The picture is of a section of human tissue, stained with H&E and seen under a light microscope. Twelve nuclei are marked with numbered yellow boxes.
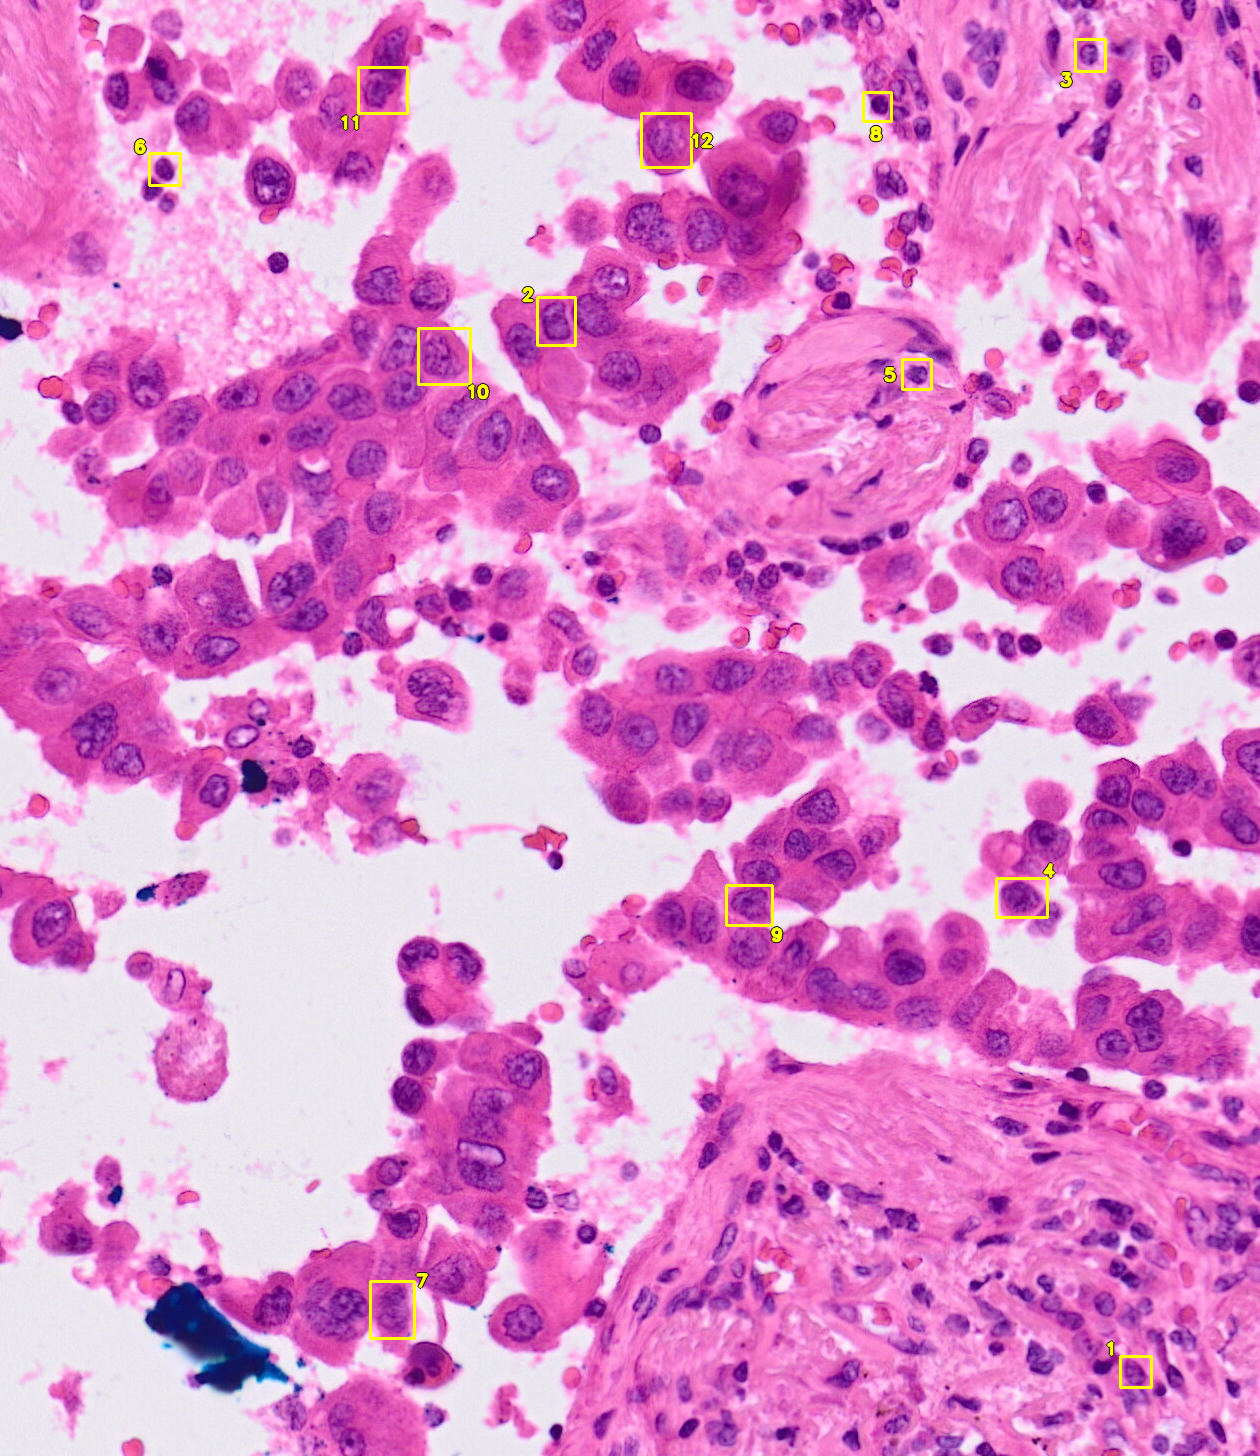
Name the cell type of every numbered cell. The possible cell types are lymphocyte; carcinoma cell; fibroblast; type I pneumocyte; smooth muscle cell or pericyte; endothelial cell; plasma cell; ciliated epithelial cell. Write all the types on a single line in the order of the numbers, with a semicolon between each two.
plasma cell; carcinoma cell; plasma cell; carcinoma cell; lymphocyte; lymphocyte; carcinoma cell; lymphocyte; carcinoma cell; carcinoma cell; carcinoma cell; carcinoma cell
